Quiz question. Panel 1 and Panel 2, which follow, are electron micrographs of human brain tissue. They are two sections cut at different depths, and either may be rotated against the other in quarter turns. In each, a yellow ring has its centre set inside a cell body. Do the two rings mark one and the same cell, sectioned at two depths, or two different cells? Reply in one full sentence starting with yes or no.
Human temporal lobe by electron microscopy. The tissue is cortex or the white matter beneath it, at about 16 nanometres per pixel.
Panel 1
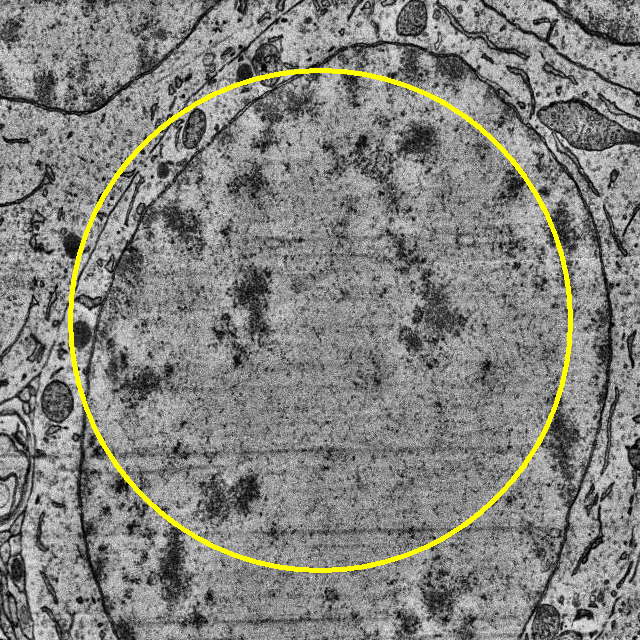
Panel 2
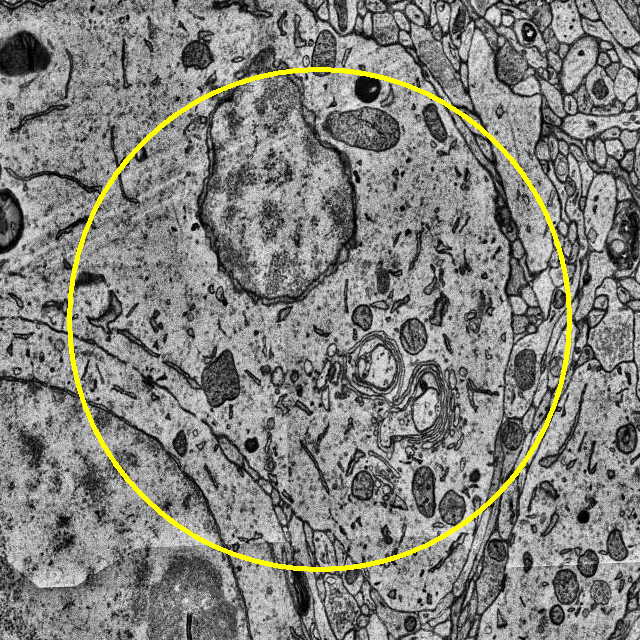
Yes, both yellow rings were placed on the same cell.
